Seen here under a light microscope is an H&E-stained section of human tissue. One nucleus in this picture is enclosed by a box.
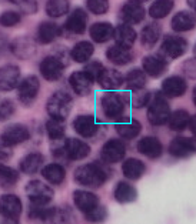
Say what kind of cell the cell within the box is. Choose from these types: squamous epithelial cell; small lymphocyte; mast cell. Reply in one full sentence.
For the purposes of cell typing, the cell within the box is categorized as a small lymphocyte.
